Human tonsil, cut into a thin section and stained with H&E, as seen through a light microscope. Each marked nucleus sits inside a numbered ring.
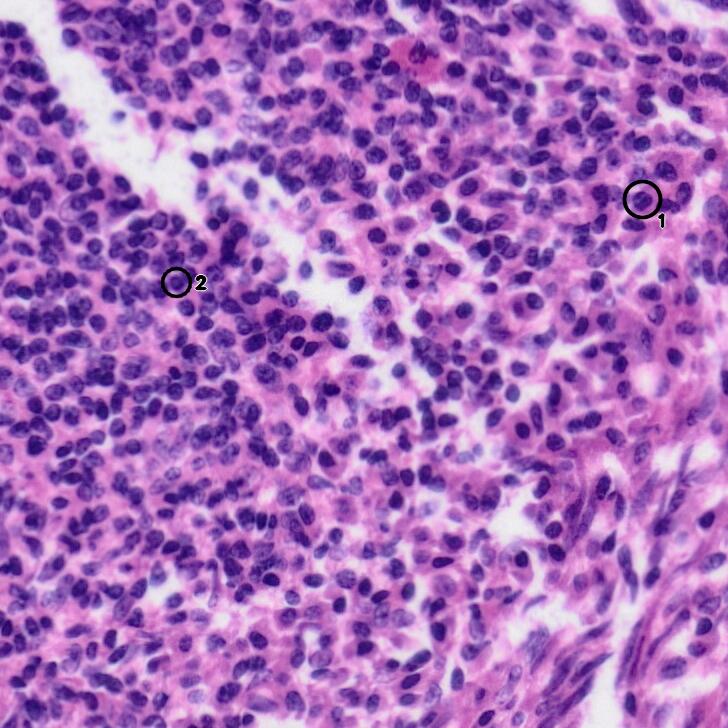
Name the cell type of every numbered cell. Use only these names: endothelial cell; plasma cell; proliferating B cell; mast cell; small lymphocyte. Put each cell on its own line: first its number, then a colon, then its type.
1: plasma cell
2: small lymphocyte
